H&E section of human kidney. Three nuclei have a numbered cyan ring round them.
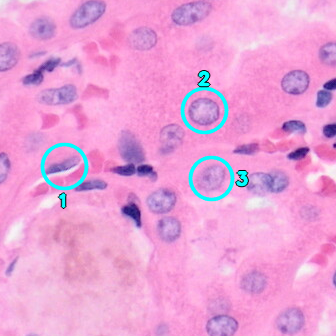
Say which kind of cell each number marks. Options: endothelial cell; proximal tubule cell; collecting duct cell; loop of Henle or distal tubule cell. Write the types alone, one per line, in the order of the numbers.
endothelial cell
proximal tubule cell
proximal tubule cell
